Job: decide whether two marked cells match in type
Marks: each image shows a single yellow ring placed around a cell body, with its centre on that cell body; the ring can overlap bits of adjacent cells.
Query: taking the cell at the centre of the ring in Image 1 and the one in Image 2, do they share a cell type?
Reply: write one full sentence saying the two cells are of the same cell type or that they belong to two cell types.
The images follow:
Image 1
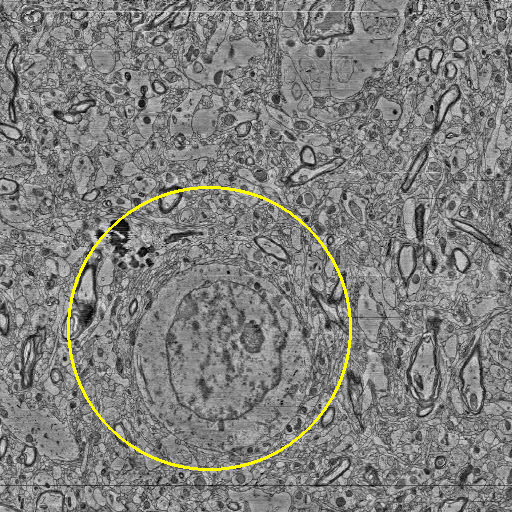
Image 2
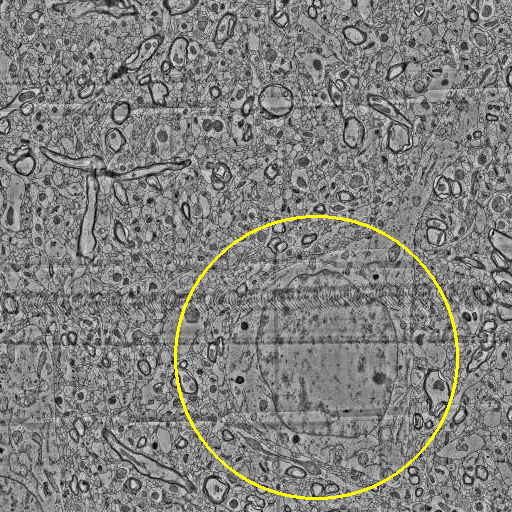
The cells at the ring centres in Image 1 and Image 2 are of the same cell type.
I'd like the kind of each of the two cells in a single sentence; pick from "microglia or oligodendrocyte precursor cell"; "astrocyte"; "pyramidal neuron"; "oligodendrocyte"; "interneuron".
Each one of the two ringed cells is a pyramidal neuron.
